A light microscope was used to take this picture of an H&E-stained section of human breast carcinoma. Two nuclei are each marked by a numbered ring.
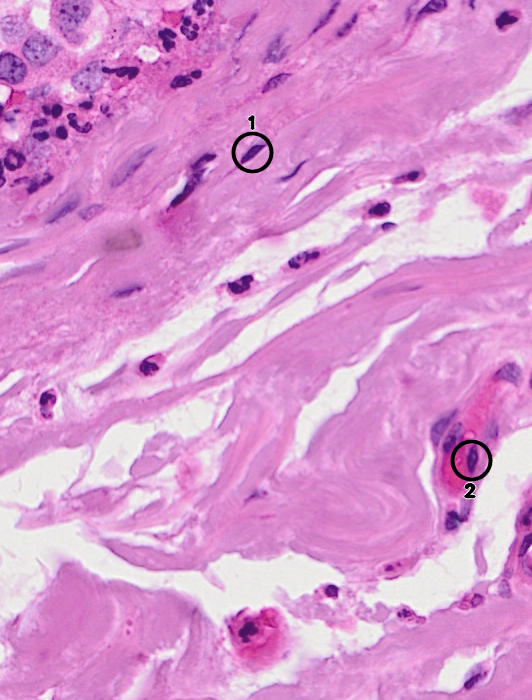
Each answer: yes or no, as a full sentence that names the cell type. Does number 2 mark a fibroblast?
No, the cell labelled number 2 is not a fibroblast; it is an endothelial cell.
